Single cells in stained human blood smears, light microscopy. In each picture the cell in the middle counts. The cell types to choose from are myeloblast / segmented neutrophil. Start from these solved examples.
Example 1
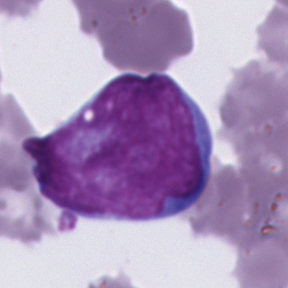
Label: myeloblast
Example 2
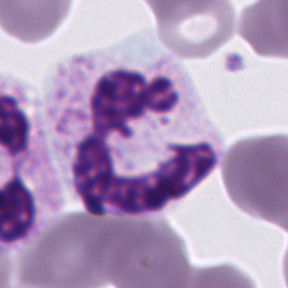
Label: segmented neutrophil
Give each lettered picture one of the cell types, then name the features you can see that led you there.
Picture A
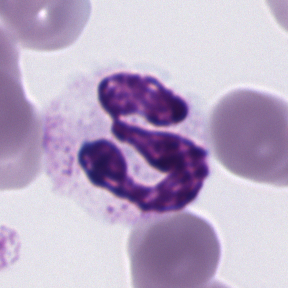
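segmented neutrophil: The cytoplasm is abundant and very pale pinkish.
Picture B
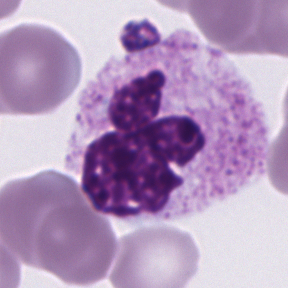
segmented neutrophil: The cytoplasm is abundant and pale pinkish-lilac.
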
